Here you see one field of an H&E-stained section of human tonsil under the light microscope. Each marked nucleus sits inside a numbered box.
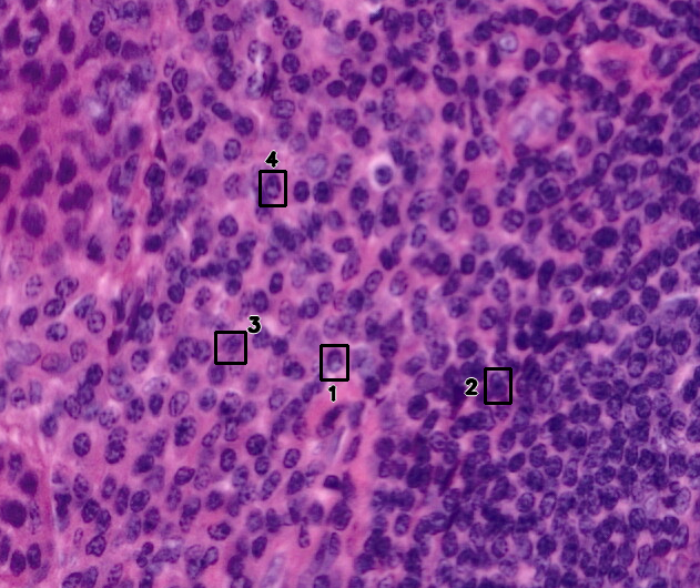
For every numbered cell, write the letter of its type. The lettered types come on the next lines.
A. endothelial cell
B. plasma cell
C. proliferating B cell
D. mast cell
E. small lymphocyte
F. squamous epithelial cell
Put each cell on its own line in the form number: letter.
1: B
2: E
3: B
4: B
